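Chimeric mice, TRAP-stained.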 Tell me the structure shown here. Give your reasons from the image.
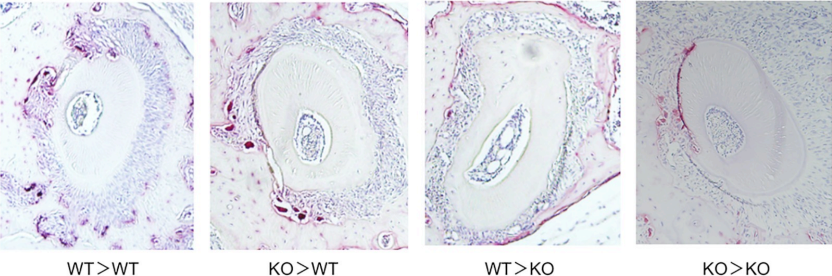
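Root. A central oval of pale, finely striated hard tissue encloses a small canal with soft cellular tissue. A rim of fibrous cellular tissue surrounds the oval, and bone lies outside it.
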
